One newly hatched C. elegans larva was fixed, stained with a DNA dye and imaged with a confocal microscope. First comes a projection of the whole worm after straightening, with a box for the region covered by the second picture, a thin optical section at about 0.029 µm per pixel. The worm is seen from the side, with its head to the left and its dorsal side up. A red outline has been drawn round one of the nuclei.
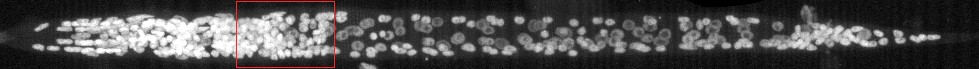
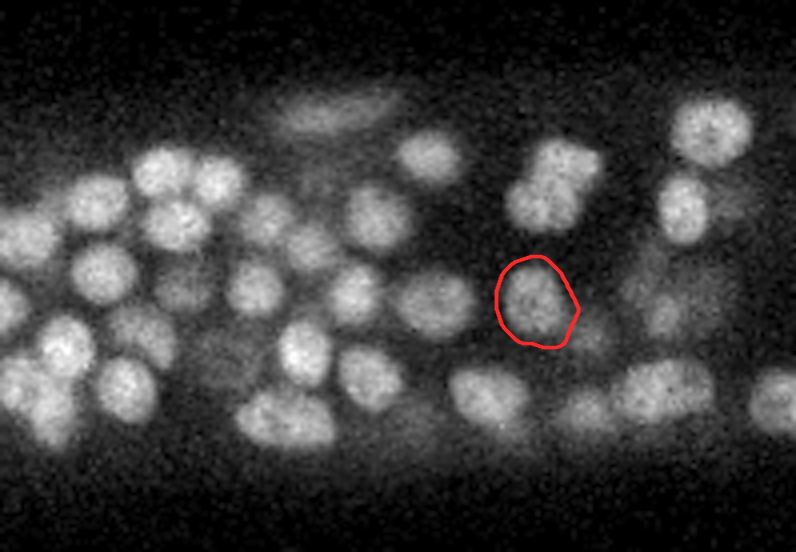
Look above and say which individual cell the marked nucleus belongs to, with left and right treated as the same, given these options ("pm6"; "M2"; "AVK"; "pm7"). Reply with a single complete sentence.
The marked nucleus is that of pm7, a pharyngeal muscle cell.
